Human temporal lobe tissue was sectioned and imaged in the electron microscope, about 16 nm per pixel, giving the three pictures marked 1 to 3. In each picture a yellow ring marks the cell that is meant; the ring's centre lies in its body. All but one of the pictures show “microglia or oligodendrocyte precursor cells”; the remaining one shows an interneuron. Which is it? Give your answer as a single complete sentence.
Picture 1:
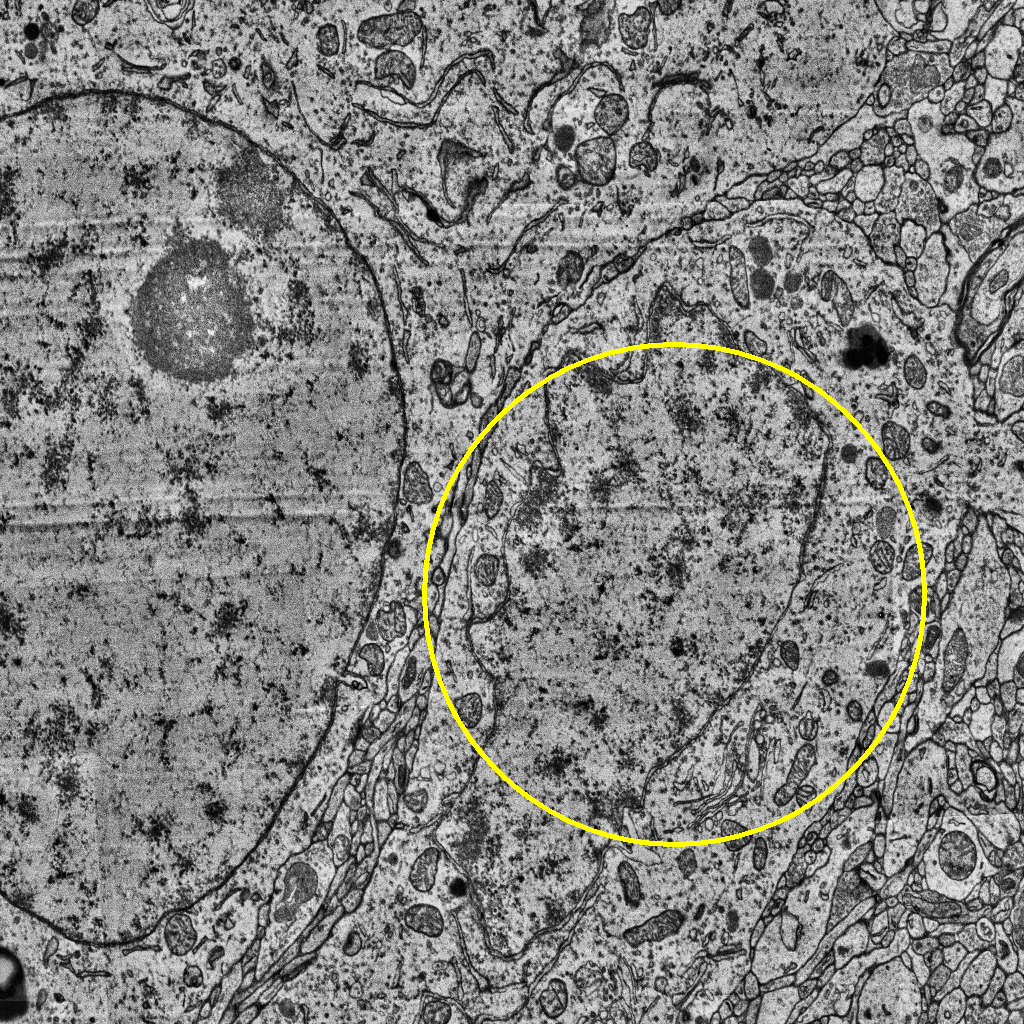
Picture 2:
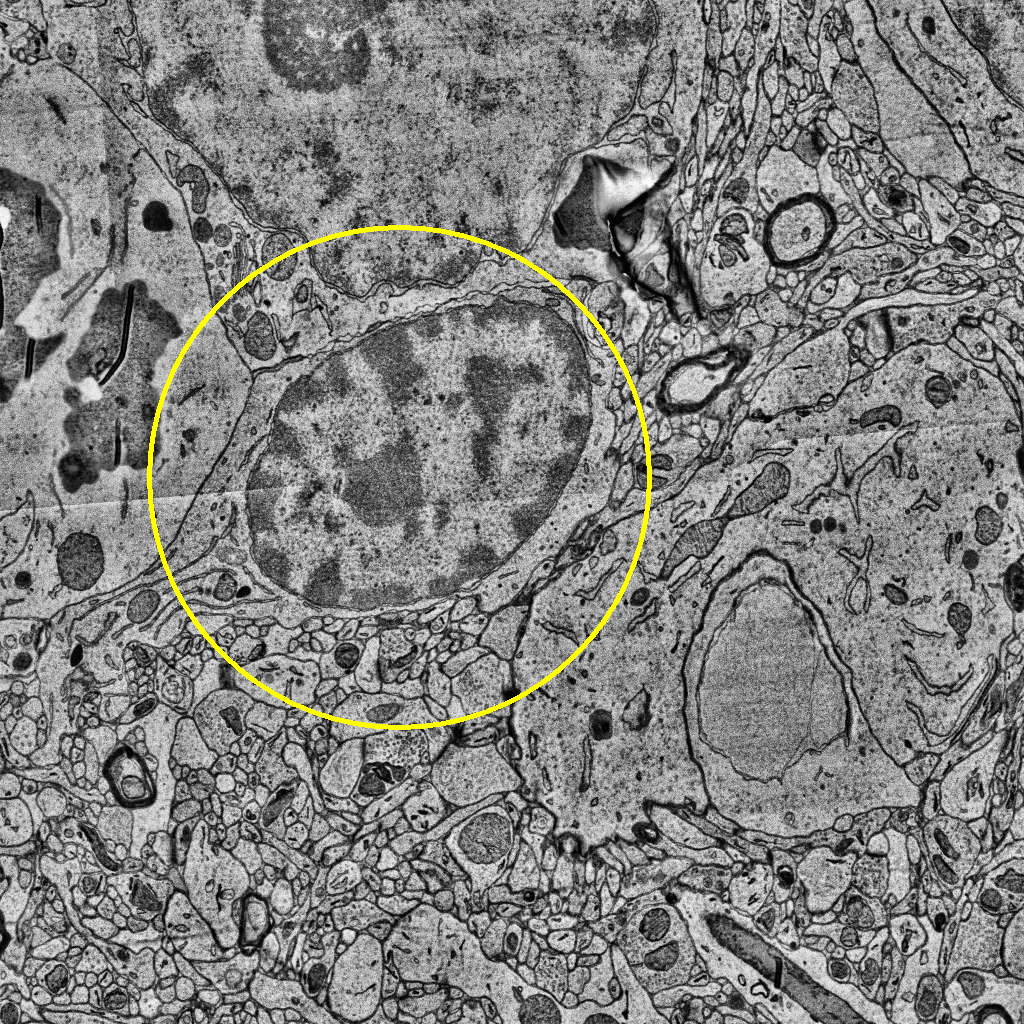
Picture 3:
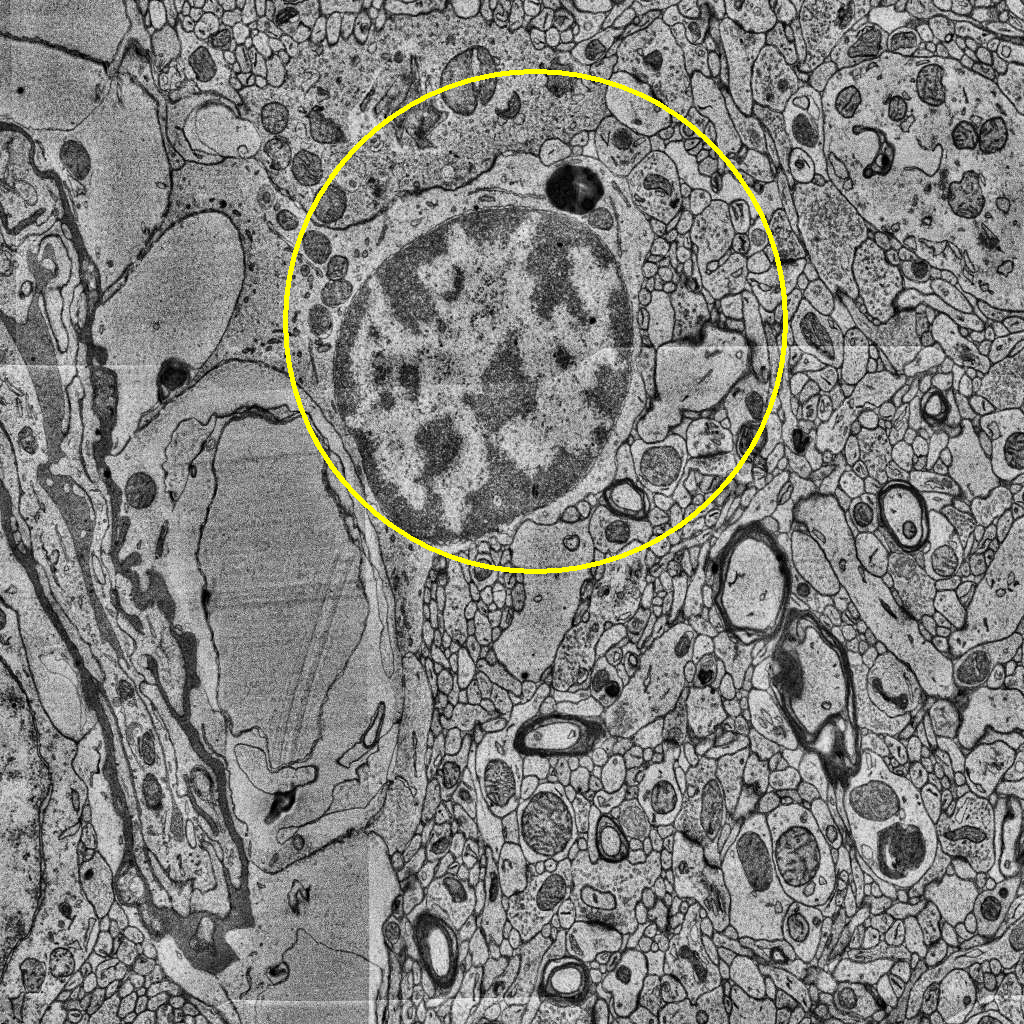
The interneuron is the one in picture 1.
